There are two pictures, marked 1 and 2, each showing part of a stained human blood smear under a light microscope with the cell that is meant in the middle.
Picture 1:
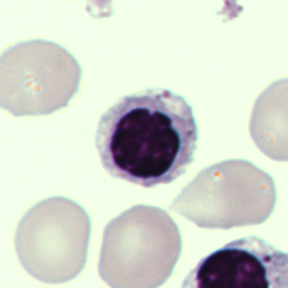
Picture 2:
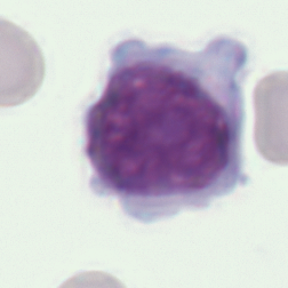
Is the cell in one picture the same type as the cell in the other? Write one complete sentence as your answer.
No. Picture 1 shows a normoblast, but picture 2 shows a plasma cell.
